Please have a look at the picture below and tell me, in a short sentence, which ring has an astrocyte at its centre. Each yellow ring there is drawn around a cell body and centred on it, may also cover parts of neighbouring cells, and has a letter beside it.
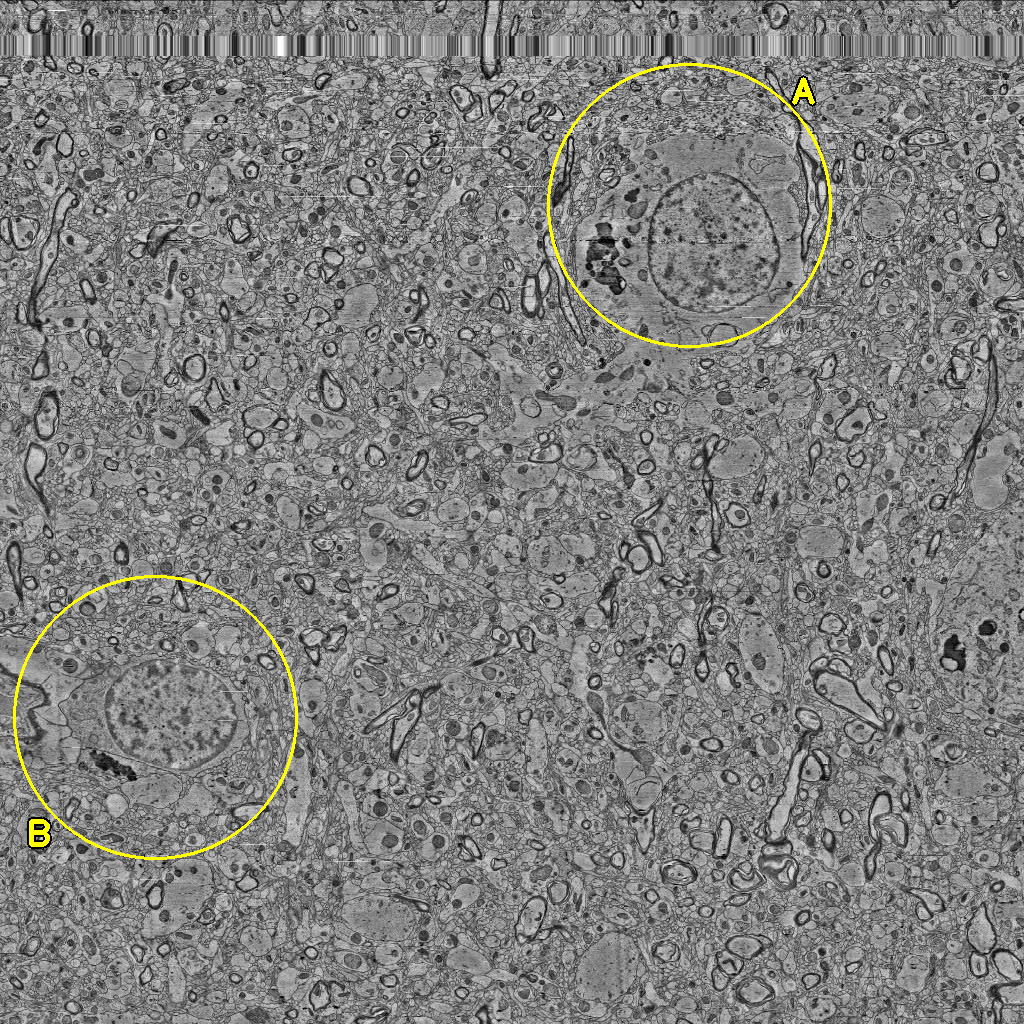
Ring A is centred on it.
